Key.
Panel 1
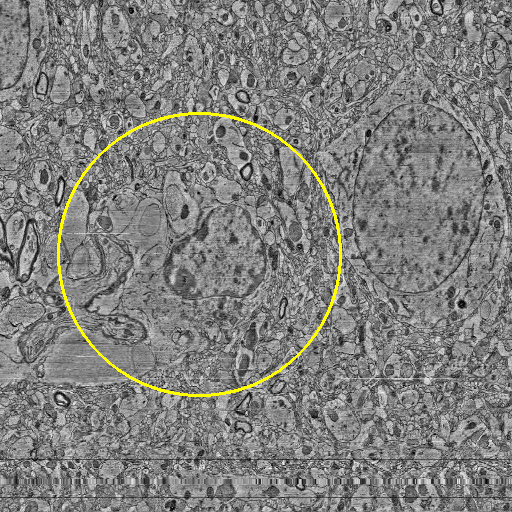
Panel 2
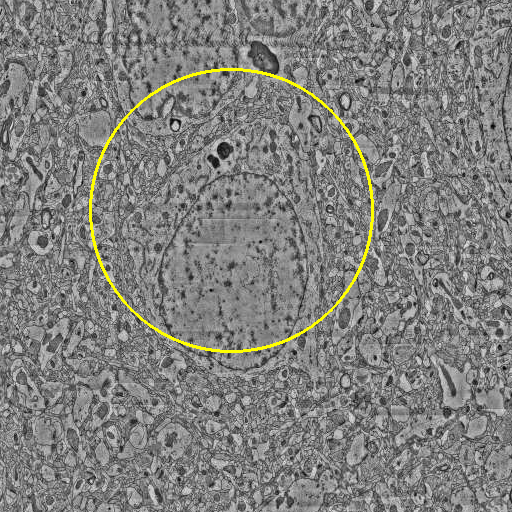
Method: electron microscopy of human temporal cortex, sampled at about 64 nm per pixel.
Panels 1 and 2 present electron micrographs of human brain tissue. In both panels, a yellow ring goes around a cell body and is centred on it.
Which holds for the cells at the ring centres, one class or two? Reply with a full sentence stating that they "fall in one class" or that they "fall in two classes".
Taken together, the ring-centre cells of the two panels fall in two classes.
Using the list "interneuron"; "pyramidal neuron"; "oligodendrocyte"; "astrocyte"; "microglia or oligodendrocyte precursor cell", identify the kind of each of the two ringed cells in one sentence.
The first is a microglial cell or oligodendrocyte precursor cell and the second is a pyramidal neuron.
